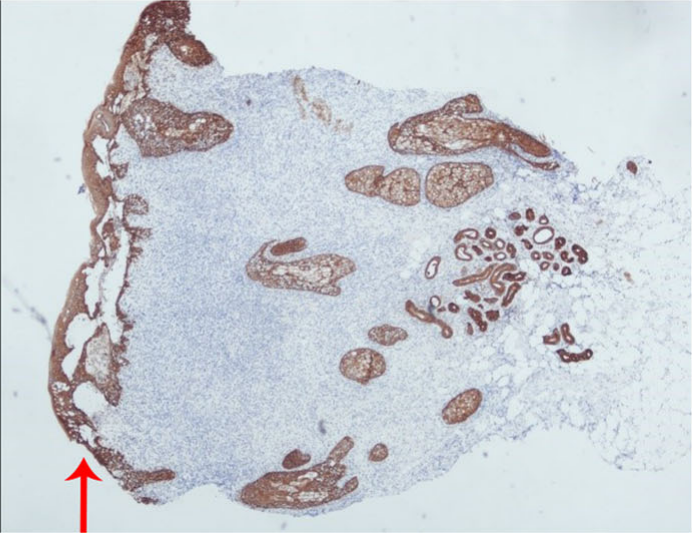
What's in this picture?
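A thin brown band runs along the left surface as the epidermis, partly detached and frayed. Brown islands are scattered through the dermis. Some are elongated and follicle-like, and others are rounded lobules. Near the deep right lies a cluster of small brown-rimmed tubules with open lumens, resembling sweat gland coils. All of these are surrounded by a vast, pale-blue sheet of unstained cells that fills the dermis between them. The skin and its adnexal structures therefore appear engulfed by a dense non-epithelial infiltrate.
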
